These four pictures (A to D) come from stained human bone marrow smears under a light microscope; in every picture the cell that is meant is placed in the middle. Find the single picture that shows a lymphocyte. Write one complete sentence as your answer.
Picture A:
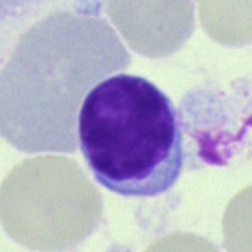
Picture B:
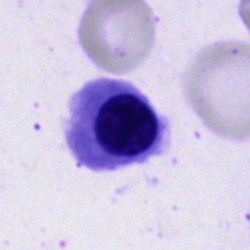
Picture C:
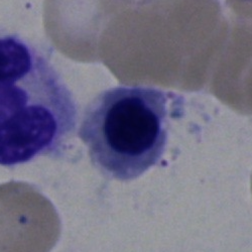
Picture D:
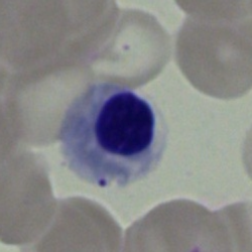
The lymphocyte is the one in picture A.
